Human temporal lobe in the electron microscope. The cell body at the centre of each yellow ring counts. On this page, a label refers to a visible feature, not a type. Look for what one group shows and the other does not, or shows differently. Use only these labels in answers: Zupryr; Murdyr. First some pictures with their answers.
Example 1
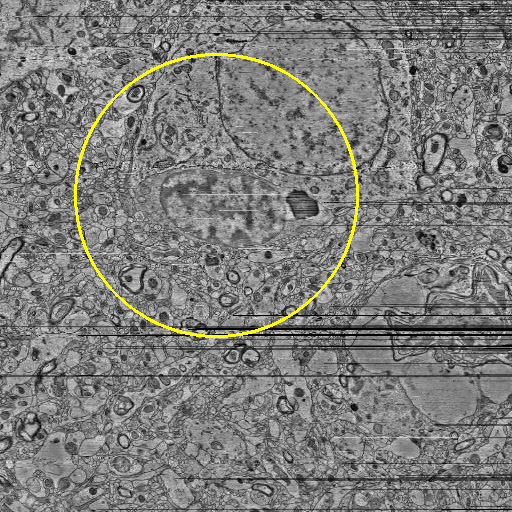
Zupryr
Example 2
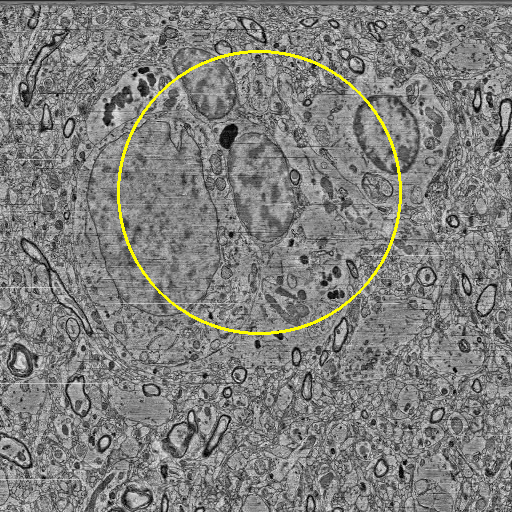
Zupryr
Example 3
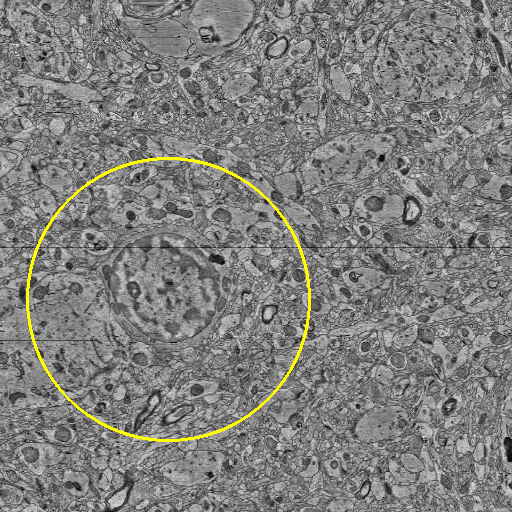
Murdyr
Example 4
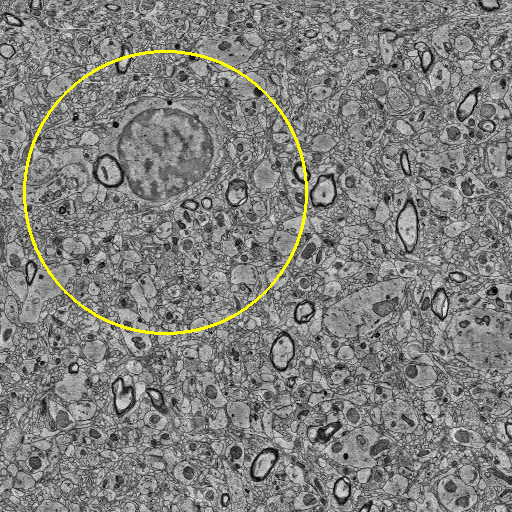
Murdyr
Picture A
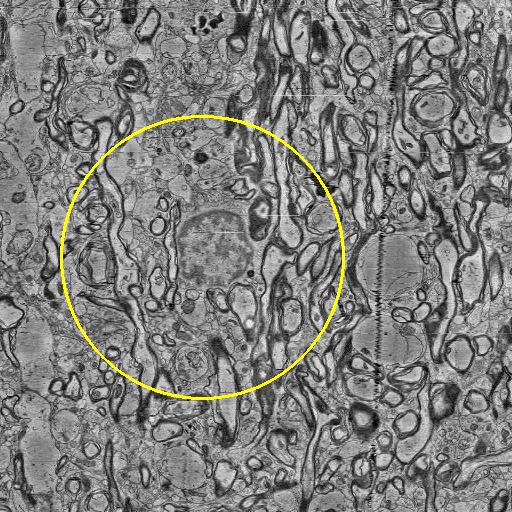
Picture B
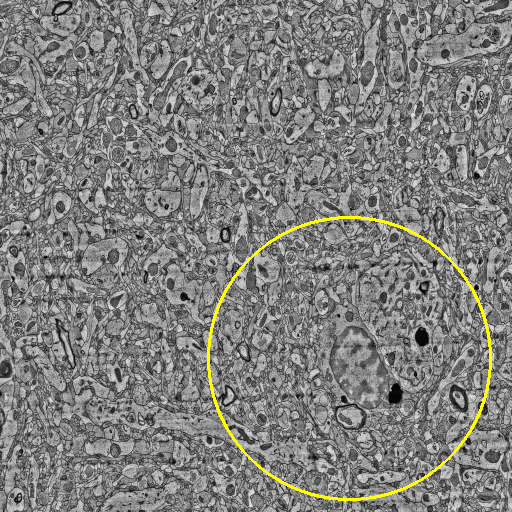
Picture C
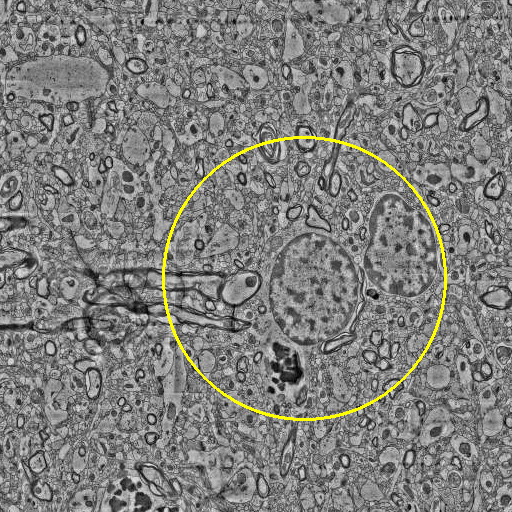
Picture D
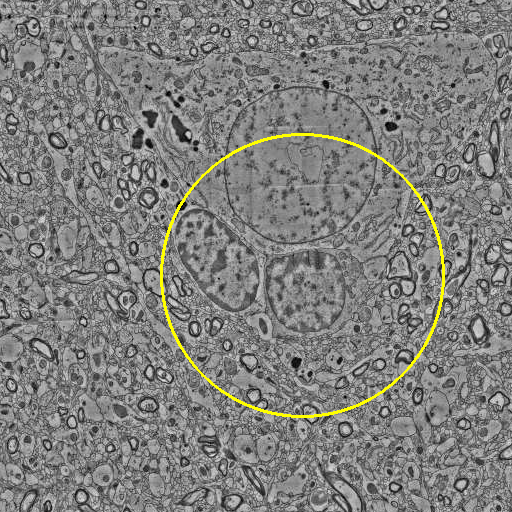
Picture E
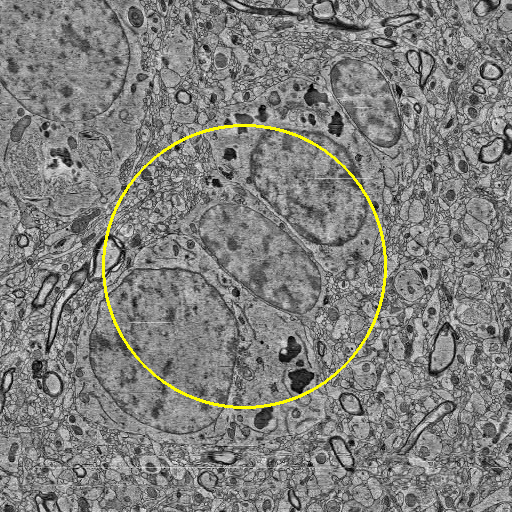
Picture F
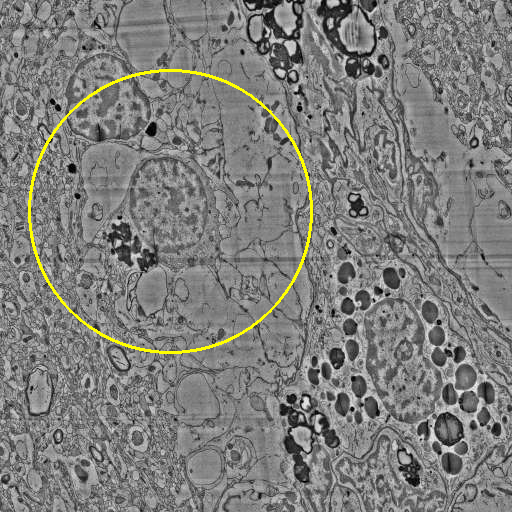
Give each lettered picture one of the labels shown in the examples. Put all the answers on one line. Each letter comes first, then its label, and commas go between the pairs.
A Murdyr, B Zupryr, C Murdyr, D Murdyr, E Zupryr, F Murdyr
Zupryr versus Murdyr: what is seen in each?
Seen in Zupryr: clearly elongated nuclei; seen in Murdyr: round or nearly round nuclei.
